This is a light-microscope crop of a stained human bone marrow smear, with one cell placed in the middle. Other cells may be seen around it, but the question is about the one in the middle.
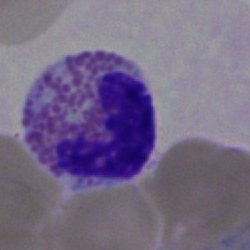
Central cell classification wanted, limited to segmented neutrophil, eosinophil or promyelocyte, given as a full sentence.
The middle of this crop holds an eosinophil.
